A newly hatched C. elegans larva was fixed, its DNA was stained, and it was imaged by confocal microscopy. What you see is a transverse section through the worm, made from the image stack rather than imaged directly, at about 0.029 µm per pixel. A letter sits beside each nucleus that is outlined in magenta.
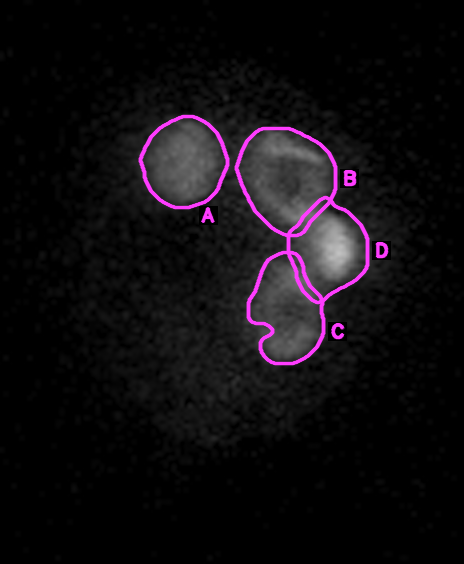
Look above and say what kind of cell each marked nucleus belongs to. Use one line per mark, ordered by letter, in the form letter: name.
A: intestinal cell
B: intestinal cell
C: intestinal cell
D: neuron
